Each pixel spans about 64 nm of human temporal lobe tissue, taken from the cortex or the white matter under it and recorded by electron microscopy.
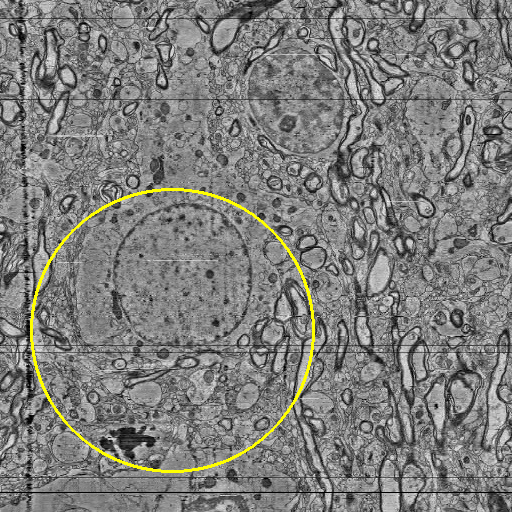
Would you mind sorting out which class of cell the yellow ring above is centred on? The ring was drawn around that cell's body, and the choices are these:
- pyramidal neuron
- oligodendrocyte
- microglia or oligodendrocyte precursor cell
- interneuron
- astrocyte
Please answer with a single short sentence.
This is the cell body of an astrocyte.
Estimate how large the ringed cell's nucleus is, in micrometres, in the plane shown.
Roughly 9 micrometres across, measured in this plane.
